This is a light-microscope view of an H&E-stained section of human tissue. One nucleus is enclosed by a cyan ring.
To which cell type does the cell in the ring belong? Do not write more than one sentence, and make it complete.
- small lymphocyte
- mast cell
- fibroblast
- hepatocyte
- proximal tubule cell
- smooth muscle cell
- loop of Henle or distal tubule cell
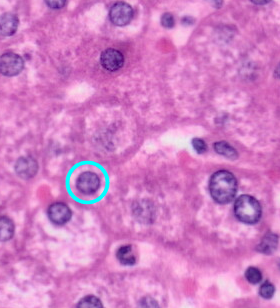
Recorded by type, the cell in the ring is a hepatocyte.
